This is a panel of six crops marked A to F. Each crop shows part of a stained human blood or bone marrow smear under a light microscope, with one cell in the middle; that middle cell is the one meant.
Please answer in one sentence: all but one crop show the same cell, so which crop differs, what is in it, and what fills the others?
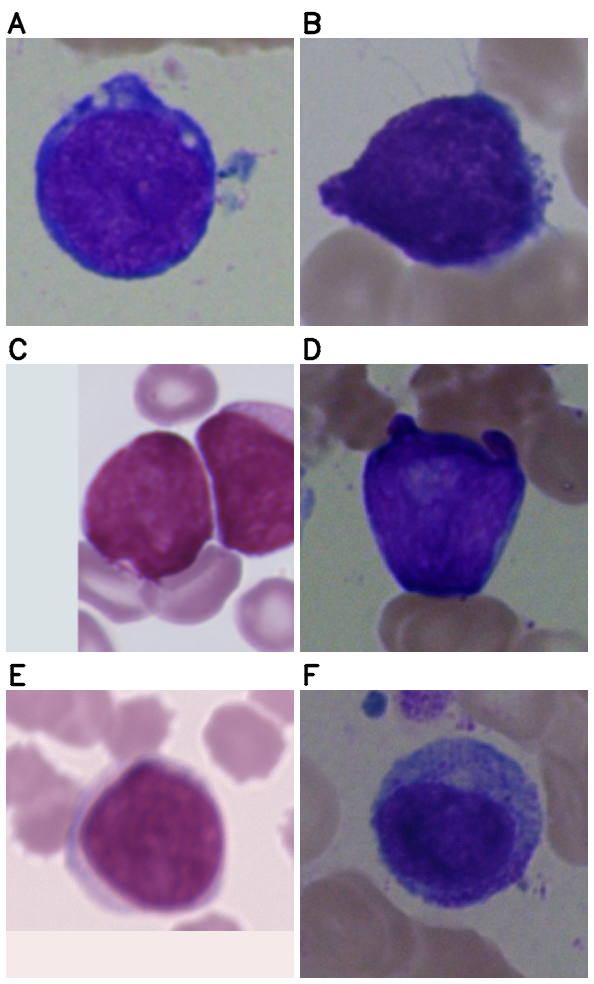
In crop F the central cell is a myelocyte, whereas the other crops all contain blasts.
